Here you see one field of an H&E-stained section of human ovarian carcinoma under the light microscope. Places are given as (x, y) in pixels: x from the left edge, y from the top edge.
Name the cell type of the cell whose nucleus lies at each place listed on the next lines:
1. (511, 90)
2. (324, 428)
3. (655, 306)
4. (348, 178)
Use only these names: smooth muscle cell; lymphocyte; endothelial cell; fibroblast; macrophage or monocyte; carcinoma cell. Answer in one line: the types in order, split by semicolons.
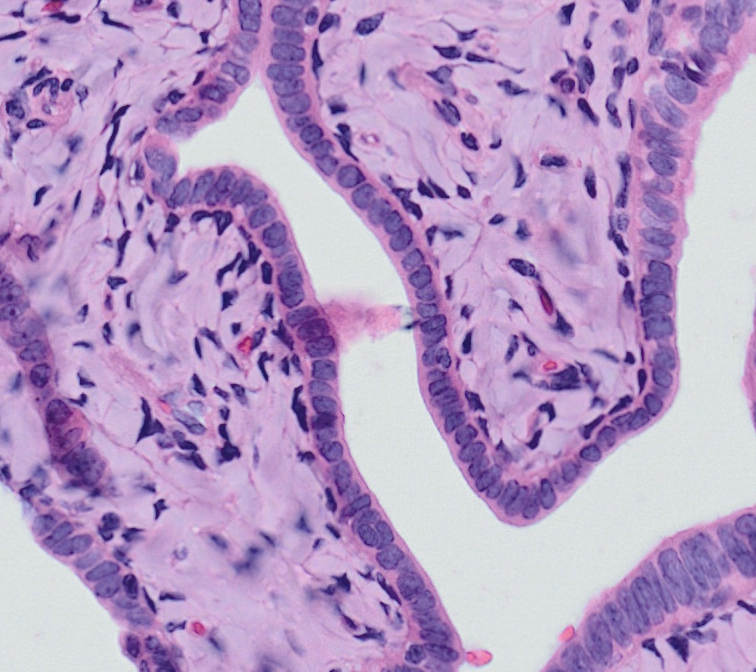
fibroblast; carcinoma cell; carcinoma cell; carcinoma cell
